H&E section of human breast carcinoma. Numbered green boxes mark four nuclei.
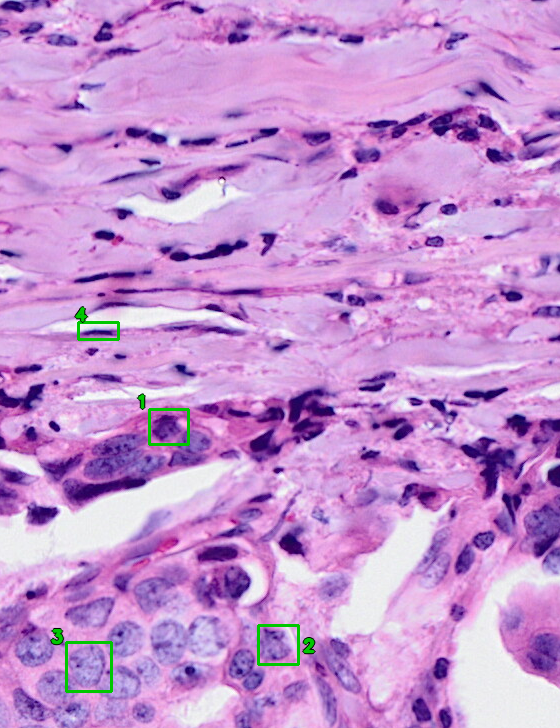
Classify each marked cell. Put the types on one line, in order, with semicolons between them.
carcinoma cell; carcinoma cell; carcinoma cell; fibroblast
